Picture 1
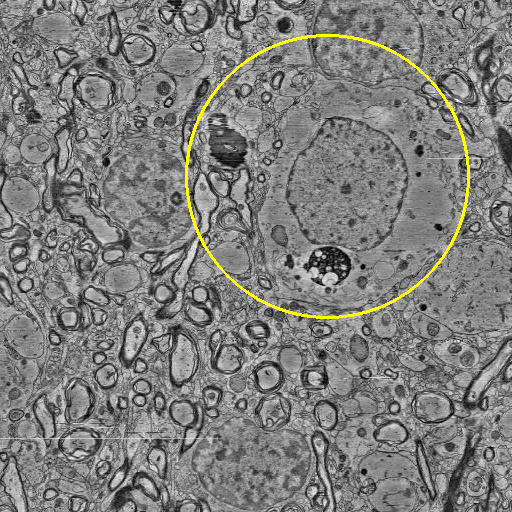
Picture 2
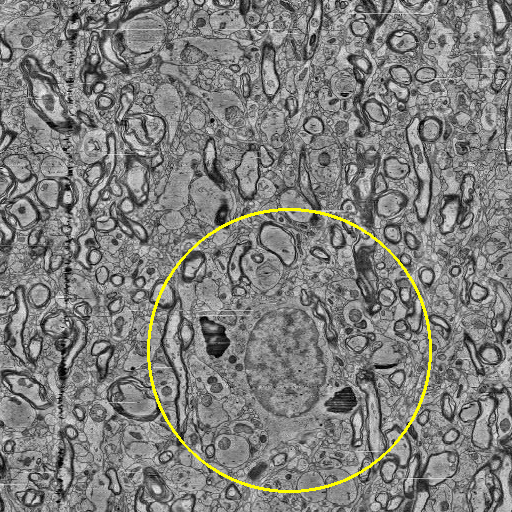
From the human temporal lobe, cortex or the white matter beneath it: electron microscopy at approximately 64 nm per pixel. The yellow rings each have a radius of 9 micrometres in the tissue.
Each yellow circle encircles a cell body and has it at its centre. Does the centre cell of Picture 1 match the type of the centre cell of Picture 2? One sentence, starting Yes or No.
No, the cell centred in Picture 1 and the one in Picture 2 have separate types.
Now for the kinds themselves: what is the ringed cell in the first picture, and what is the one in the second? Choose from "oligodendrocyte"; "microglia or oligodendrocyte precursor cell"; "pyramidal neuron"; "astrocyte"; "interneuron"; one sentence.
Here the first cell is an astrocyte and the second cell is an oligodendrocyte.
